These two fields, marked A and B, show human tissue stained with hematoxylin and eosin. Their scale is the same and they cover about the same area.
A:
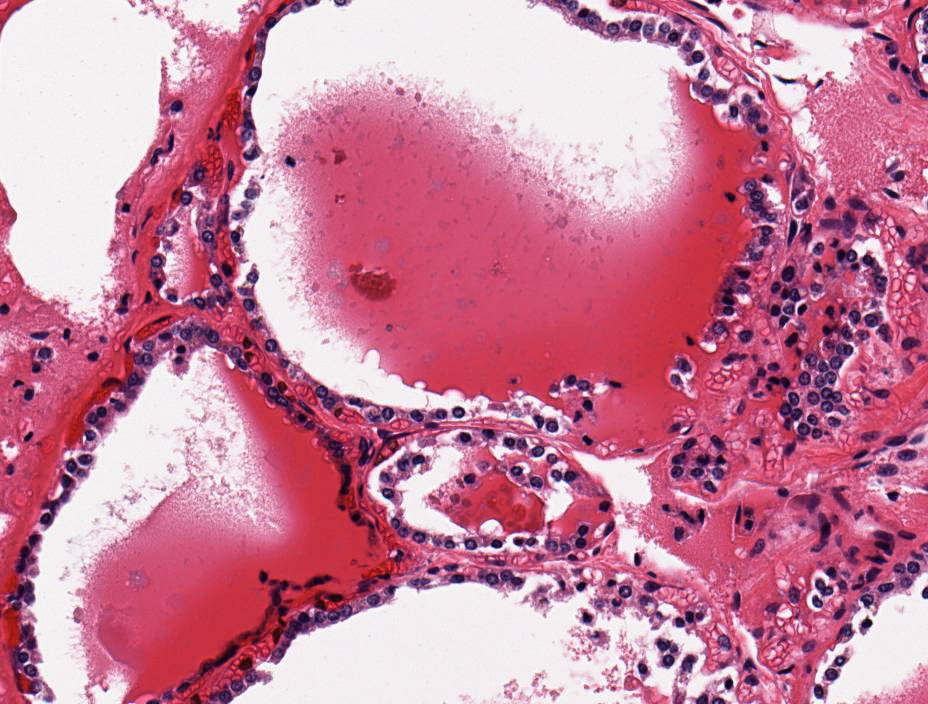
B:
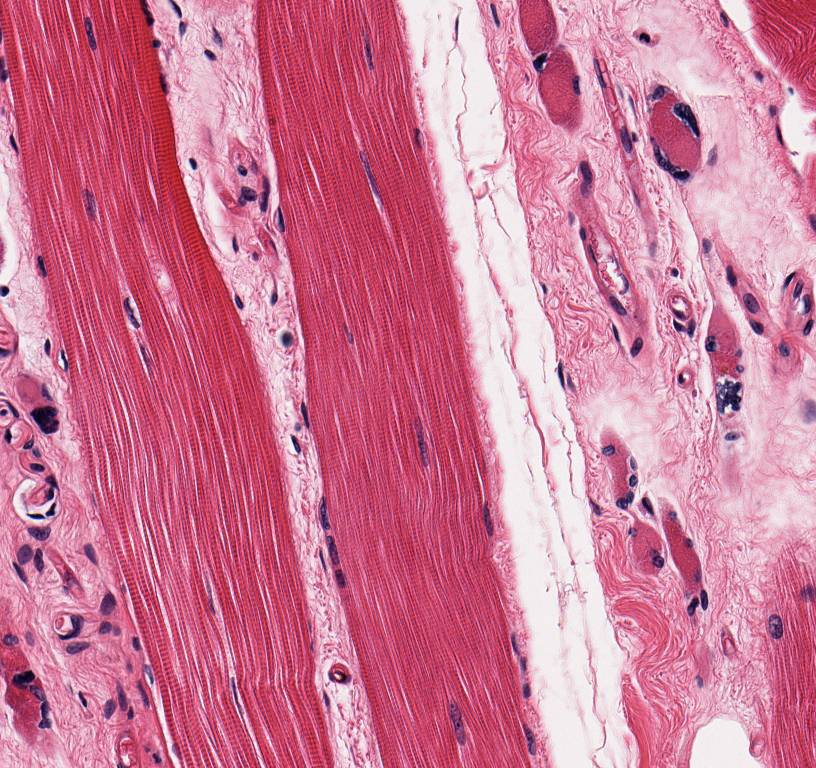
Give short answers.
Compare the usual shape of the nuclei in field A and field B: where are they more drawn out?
B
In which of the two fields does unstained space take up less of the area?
B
